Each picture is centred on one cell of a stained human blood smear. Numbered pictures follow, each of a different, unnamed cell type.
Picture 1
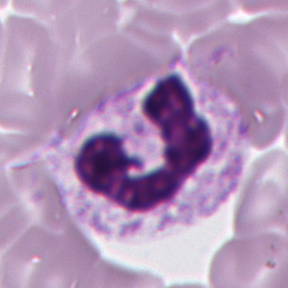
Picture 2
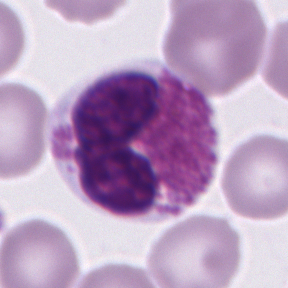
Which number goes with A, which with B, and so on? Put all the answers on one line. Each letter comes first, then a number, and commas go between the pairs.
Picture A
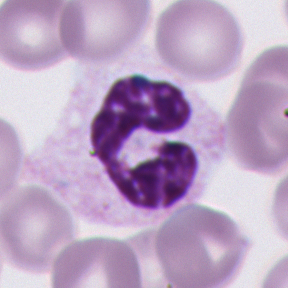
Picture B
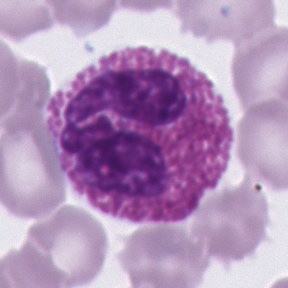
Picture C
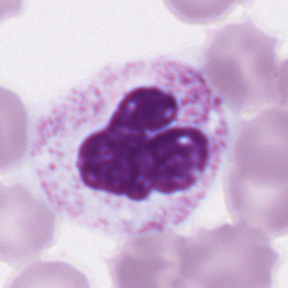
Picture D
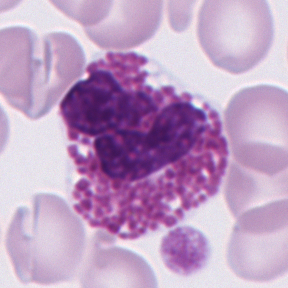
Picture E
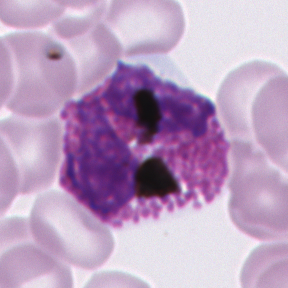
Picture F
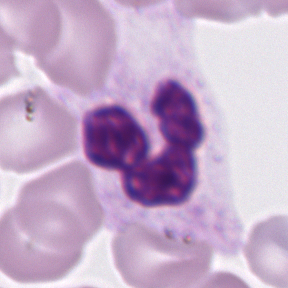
A 1, B 2, C 1, D 2, E 2, F 1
